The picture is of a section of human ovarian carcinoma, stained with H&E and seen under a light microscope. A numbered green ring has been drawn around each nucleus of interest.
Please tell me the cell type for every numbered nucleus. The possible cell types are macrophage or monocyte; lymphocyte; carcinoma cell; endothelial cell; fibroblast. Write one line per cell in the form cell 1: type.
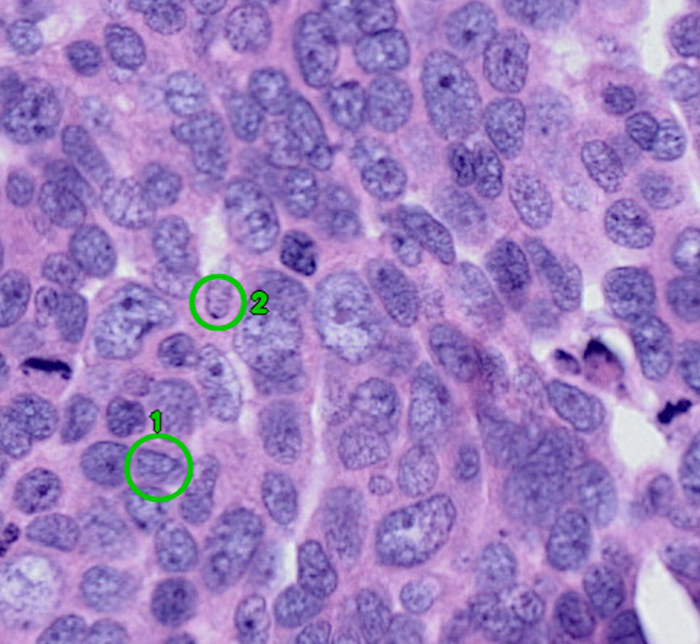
cell 1: carcinoma cell
cell 2: macrophage or monocyte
